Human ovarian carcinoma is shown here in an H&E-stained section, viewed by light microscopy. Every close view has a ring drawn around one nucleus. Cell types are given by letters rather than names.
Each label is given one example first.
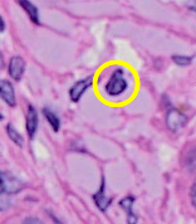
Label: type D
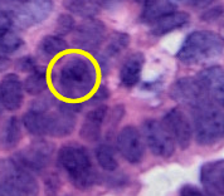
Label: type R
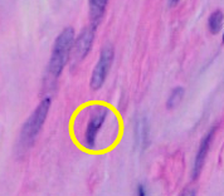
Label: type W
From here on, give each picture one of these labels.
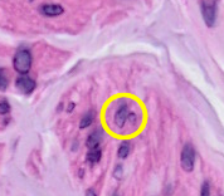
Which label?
type W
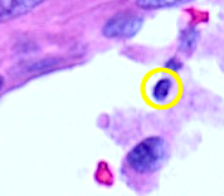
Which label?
type D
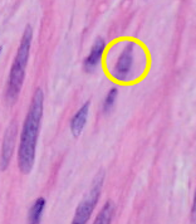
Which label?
type W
